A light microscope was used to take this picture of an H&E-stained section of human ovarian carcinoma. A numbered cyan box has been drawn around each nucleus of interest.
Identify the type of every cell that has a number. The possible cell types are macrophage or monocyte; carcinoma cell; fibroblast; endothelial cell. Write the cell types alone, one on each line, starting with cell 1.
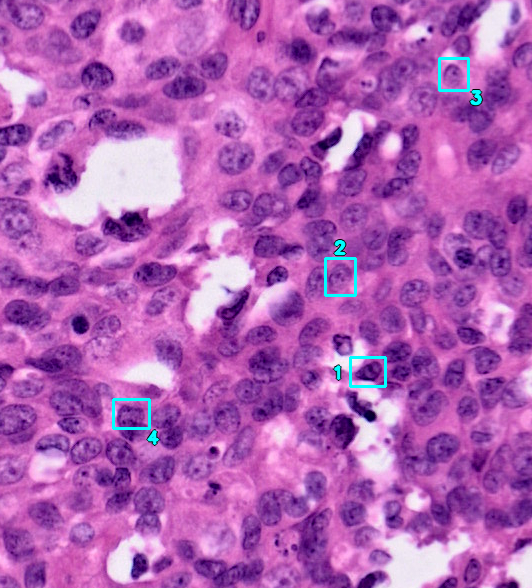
carcinoma cell
carcinoma cell
macrophage or monocyte
carcinoma cell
